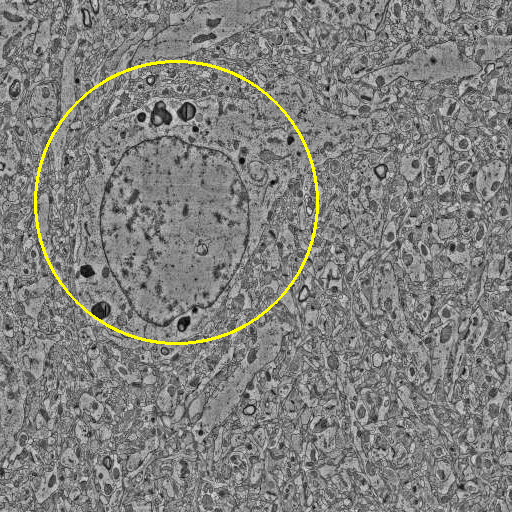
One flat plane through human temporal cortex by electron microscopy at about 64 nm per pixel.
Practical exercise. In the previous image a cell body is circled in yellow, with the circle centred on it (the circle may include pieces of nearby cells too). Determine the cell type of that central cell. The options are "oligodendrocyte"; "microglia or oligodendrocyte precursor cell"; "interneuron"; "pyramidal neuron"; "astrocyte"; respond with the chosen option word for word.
pyramidal neuron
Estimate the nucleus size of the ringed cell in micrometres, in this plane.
In this plane, the nucleus is roughly 12 by 10 micrometres.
